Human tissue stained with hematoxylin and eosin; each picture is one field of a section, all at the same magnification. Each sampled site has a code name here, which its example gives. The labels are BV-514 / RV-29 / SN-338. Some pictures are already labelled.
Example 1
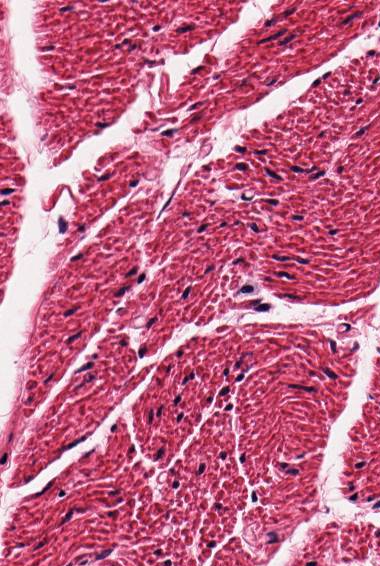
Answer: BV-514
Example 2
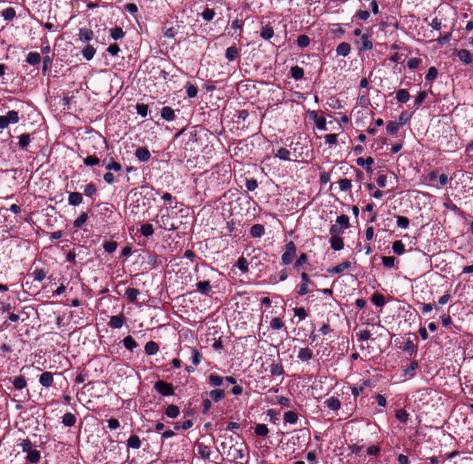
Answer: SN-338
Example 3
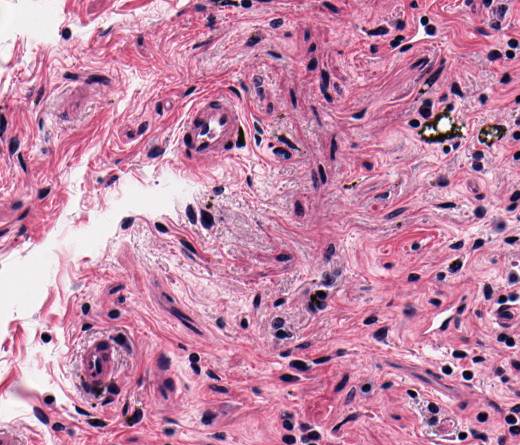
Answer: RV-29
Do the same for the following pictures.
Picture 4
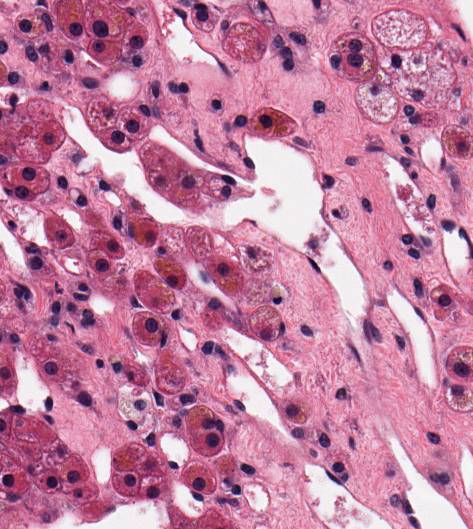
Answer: SN-338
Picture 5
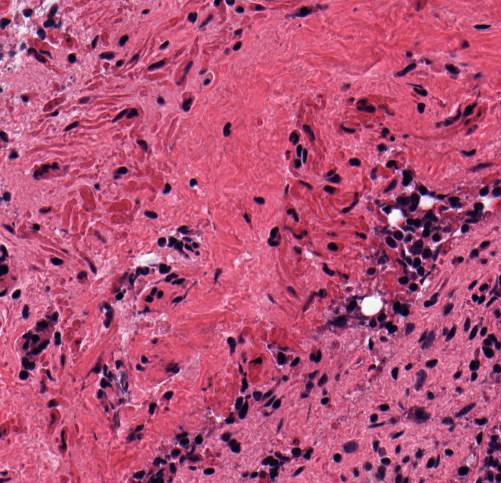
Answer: RV-29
